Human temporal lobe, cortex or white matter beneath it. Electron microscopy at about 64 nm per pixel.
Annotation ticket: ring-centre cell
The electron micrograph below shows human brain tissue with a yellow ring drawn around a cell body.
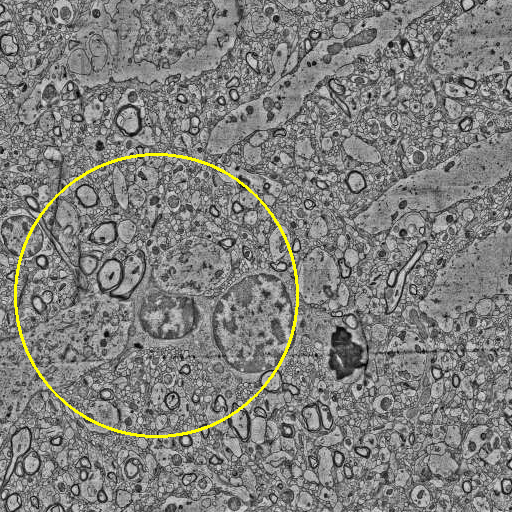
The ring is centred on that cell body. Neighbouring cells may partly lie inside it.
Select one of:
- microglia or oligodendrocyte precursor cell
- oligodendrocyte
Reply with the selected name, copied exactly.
oligodendrocyte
